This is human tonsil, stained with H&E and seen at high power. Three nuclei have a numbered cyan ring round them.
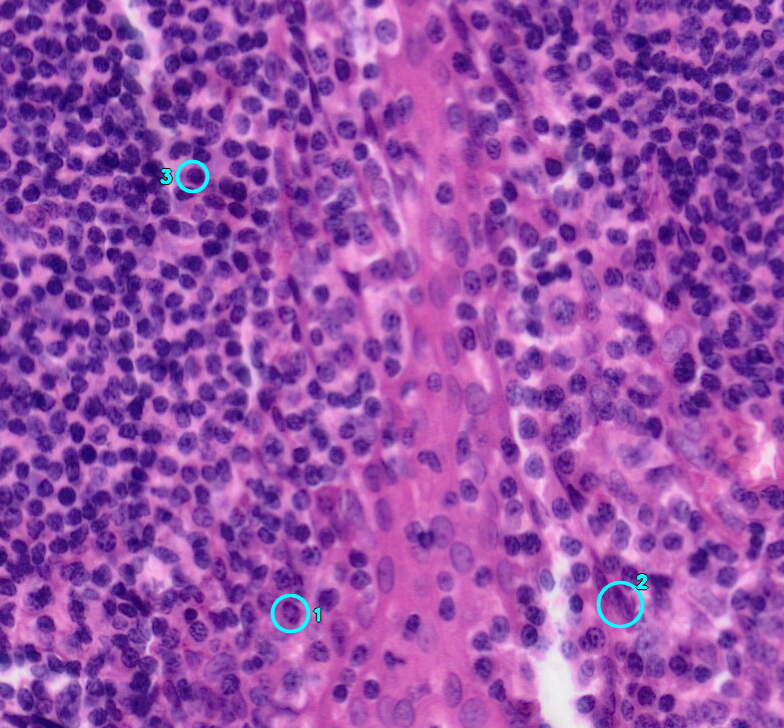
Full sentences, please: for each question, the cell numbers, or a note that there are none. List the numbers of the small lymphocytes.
Of the cells carrying numbers, just cell 3 is a small lymphocyte.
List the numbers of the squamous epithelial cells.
Cell 2 is a squamous epithelial cell, which is true of none of the other numbered cells.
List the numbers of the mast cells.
The numbered cells are not mast cells, not even one of them.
